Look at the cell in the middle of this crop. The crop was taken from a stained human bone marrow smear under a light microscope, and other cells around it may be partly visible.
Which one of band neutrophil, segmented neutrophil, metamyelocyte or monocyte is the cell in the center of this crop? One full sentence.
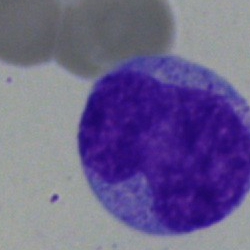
The crop centres on a single cell, and that cell is a monocyte.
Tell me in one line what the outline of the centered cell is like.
From every side, the cell boundary is smooth and free of projections.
